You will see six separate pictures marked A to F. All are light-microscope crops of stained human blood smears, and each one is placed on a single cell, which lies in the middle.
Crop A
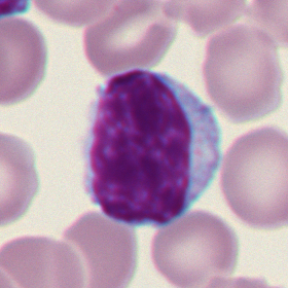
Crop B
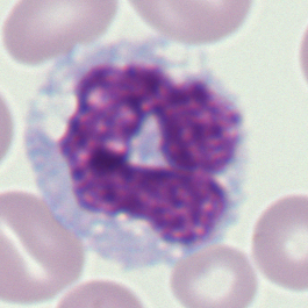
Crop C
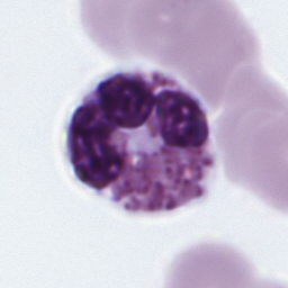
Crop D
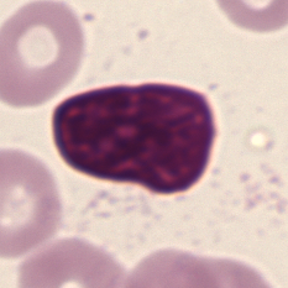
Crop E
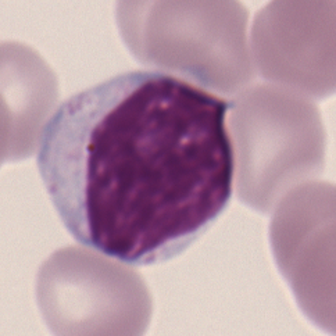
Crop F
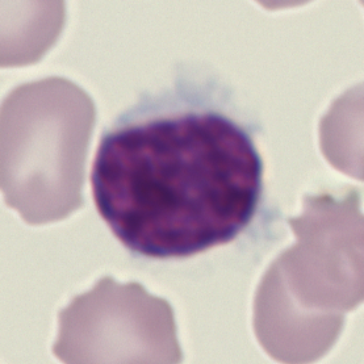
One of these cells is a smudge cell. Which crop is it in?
D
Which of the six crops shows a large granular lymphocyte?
E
